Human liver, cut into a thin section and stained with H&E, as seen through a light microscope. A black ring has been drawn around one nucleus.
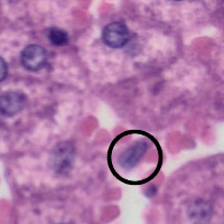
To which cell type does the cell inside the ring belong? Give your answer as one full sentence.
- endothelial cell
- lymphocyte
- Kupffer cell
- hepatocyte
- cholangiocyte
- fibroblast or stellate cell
This is a Kupffer cell.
